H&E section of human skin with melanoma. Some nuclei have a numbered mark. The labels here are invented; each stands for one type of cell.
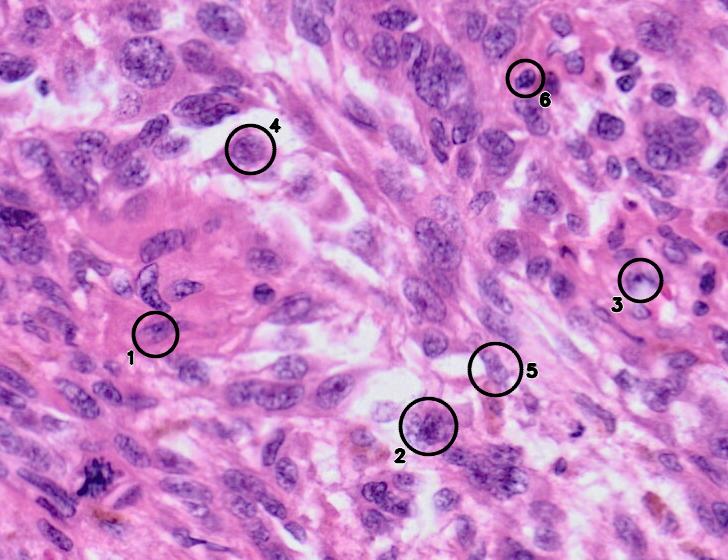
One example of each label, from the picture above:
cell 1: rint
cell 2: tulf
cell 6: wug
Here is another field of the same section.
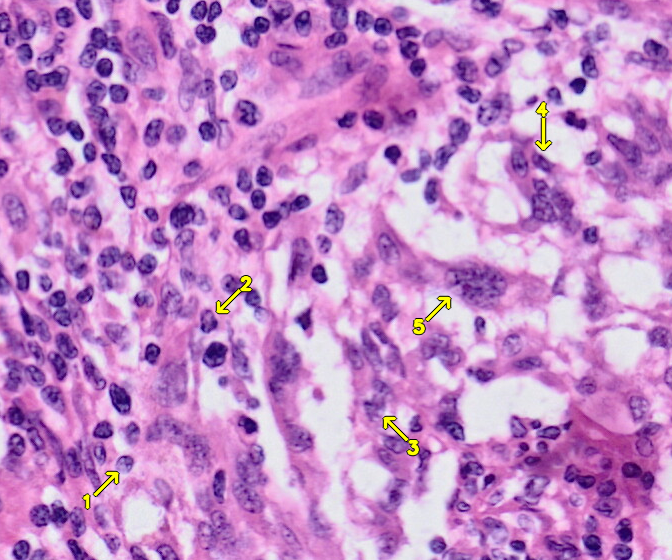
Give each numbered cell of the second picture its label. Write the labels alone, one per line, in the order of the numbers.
wug
wug
tulf
tulf
tulf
